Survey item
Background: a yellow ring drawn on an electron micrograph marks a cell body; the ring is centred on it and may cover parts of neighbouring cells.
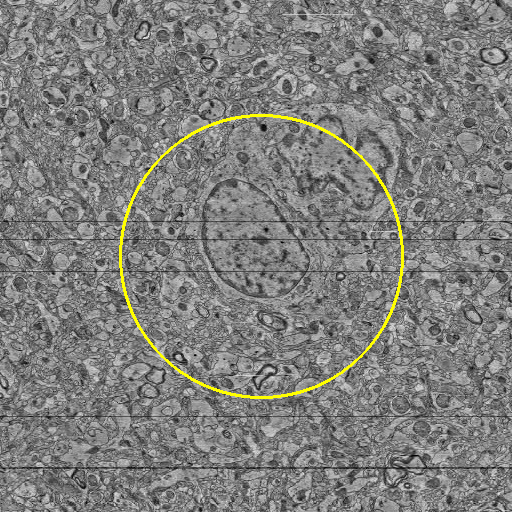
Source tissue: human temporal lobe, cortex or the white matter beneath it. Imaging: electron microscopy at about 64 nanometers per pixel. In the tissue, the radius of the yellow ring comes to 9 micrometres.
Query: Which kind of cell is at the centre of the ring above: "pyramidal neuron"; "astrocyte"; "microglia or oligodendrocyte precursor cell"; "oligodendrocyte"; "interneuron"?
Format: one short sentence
The cell in the middle of the ring is a microglial cell or oligodendrocyte precursor cell.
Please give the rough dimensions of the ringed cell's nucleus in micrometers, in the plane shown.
Approximately 8 micrometres long and 6 micrometres wide, so clearly longer than it is wide in this plane.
